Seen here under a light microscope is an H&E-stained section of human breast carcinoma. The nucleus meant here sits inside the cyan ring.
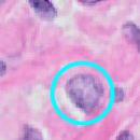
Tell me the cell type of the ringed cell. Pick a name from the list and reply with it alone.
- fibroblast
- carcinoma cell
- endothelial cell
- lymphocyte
carcinoma cell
